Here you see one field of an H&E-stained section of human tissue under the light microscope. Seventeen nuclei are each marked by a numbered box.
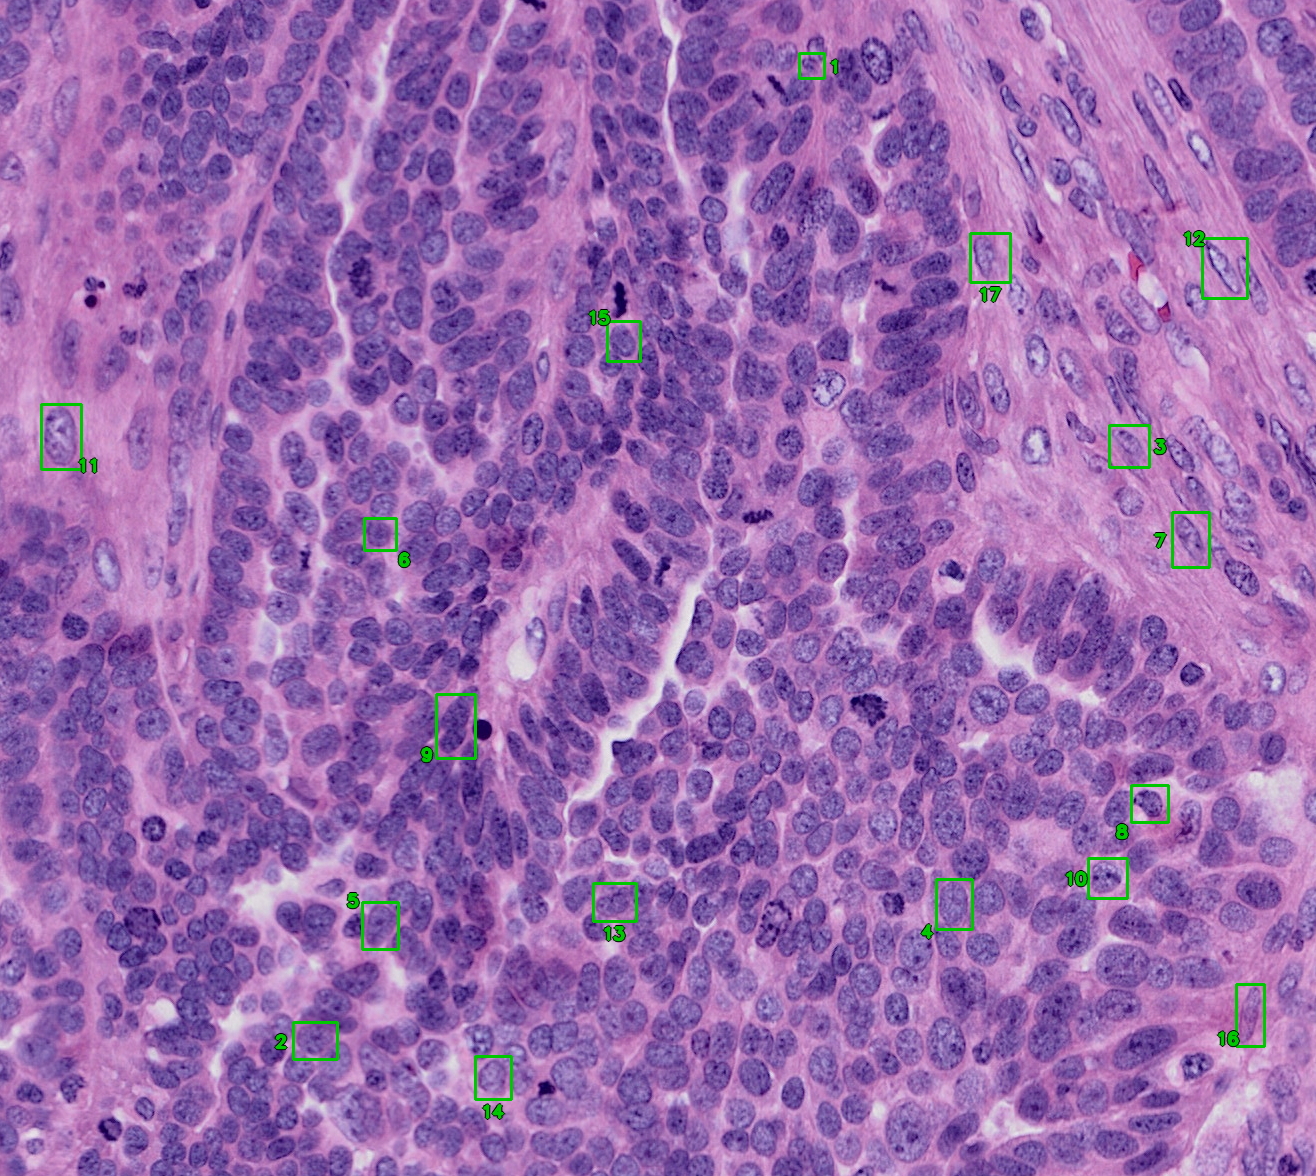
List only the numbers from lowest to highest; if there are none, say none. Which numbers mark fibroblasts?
3, 7, 11, 12, 16, 17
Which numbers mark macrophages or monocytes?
1, 8, 10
